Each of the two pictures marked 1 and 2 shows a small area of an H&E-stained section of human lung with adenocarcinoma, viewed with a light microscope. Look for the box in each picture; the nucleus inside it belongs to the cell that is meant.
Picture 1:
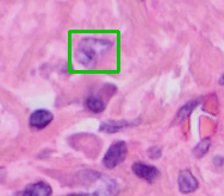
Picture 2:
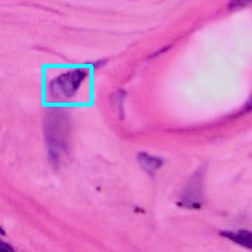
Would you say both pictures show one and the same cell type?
yes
